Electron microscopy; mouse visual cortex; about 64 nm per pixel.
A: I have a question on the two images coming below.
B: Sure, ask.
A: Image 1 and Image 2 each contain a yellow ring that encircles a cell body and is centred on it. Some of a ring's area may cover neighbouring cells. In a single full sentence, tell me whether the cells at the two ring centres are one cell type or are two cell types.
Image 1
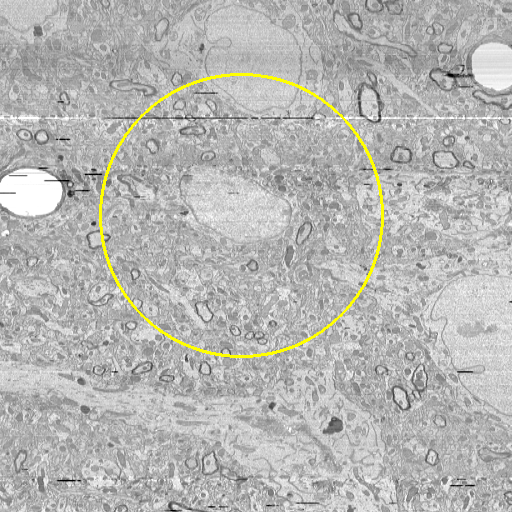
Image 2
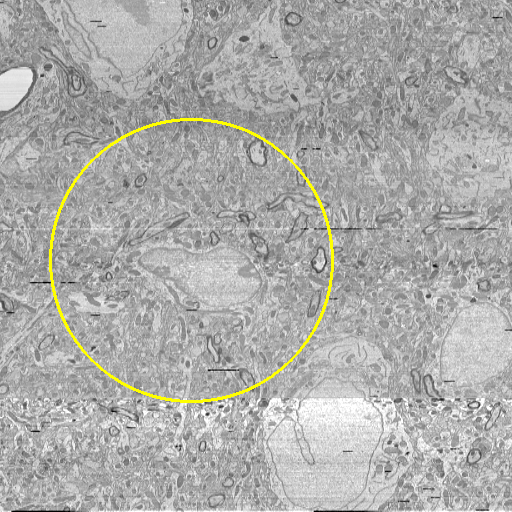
As for the ring-centre cells, the one in Image 1 and the one in Image 2 are one cell type.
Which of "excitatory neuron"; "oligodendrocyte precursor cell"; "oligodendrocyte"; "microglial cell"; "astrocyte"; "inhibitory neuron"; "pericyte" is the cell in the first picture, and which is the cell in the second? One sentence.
The second cell is an astrocyte, just as the first is.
